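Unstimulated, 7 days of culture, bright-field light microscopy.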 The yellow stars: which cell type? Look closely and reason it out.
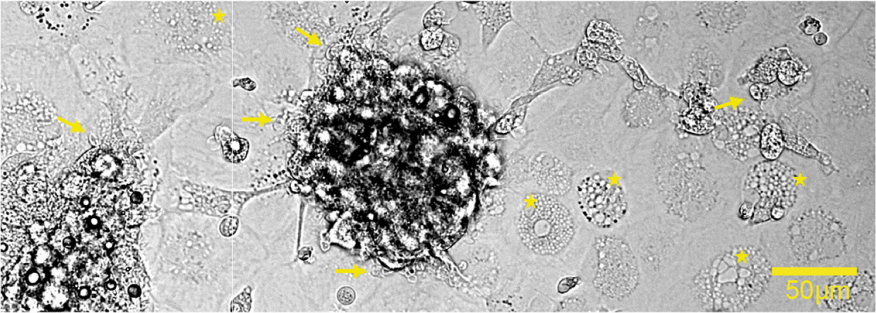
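Highly granular cells without protrusions. The starred cells are large, flat, rounded cells. Their cytoplasm is packed with many small granules or vacuoles. They have no thin projections from their surface.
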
